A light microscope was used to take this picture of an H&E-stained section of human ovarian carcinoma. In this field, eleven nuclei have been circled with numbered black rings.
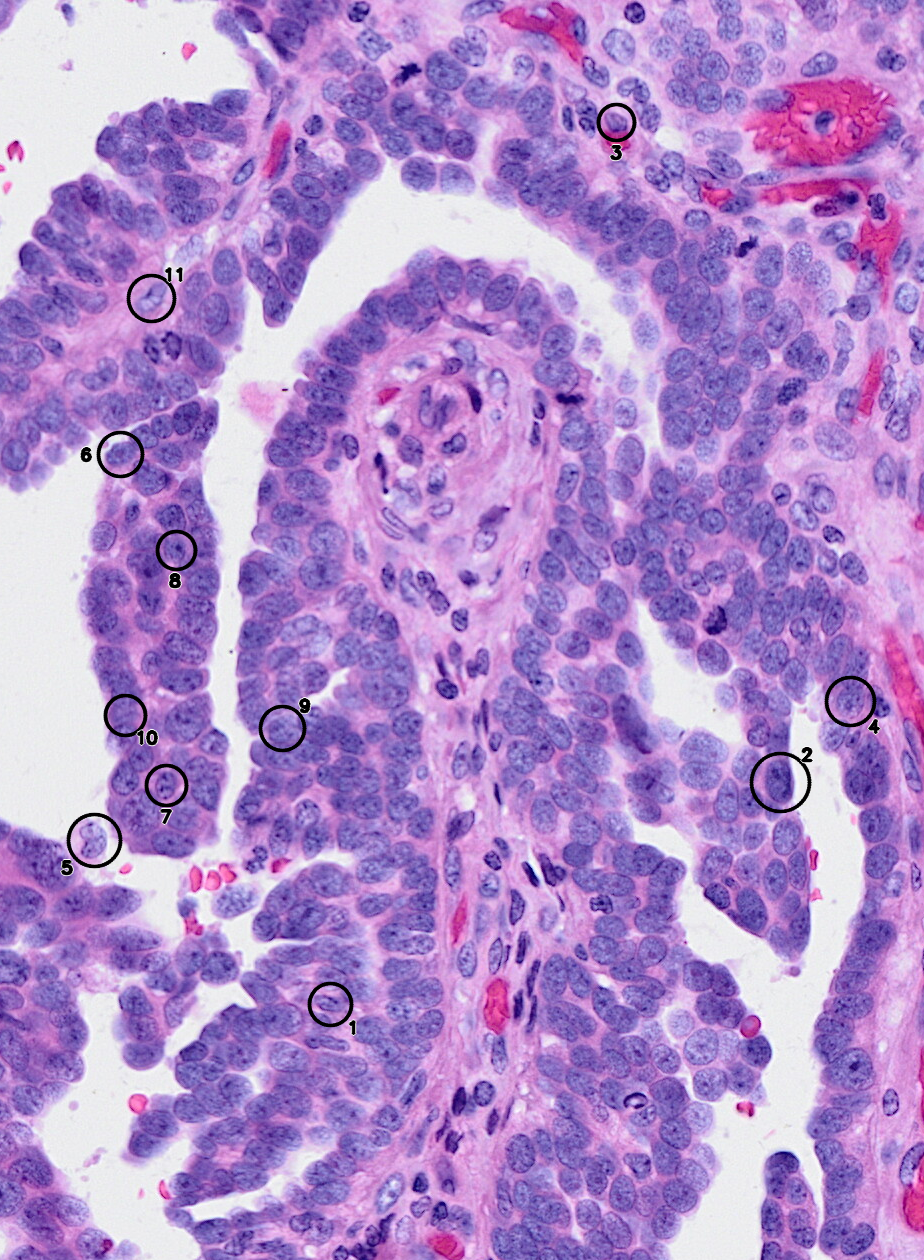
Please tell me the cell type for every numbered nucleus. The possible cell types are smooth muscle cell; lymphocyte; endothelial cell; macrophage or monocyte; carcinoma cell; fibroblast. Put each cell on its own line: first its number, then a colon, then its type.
1: macrophage or monocyte
2: carcinoma cell
3: endothelial cell
4: carcinoma cell
5: macrophage or monocyte
6: carcinoma cell
7: macrophage or monocyte
8: carcinoma cell
9: carcinoma cell
10: carcinoma cell
11: fibroblast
